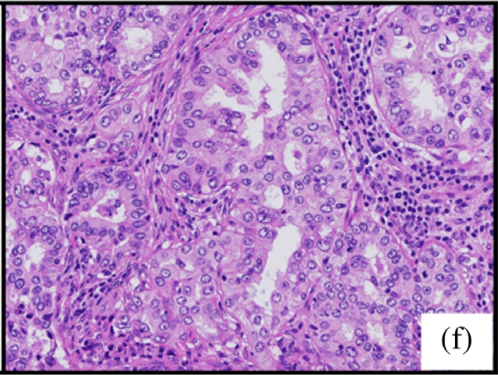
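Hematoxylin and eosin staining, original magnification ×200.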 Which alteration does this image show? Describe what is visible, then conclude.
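Cells with enlarged round nuclei and prominent nucleoli line gland-like spaces. Tumor nests are separated by thin fibrous septa.
Adenocarcinoma.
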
